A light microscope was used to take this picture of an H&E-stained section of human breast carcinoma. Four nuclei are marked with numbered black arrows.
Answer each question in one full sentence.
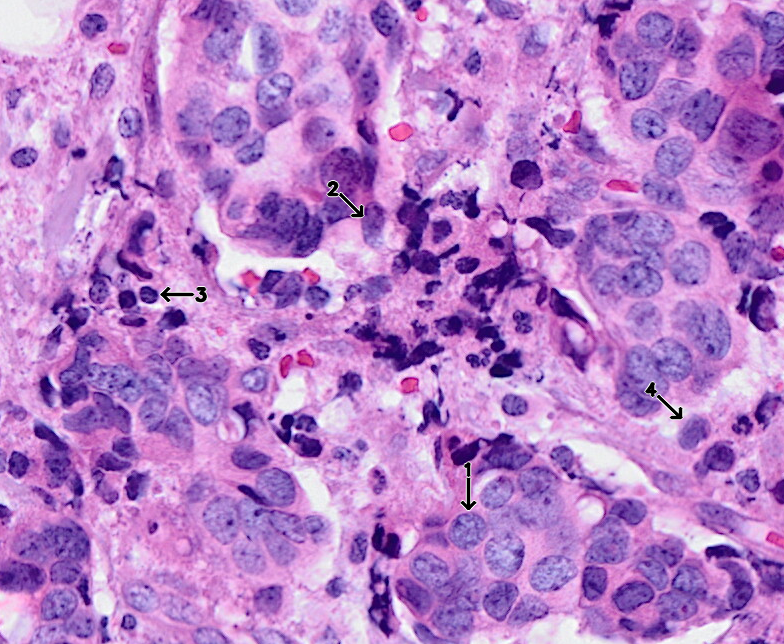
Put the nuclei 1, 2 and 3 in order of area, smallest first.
The order from the smallest nucleus to the largest is 3, 2, 1.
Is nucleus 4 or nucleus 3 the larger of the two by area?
Nucleus 4 is larger, with an area about 3 times that of nucleus 3.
